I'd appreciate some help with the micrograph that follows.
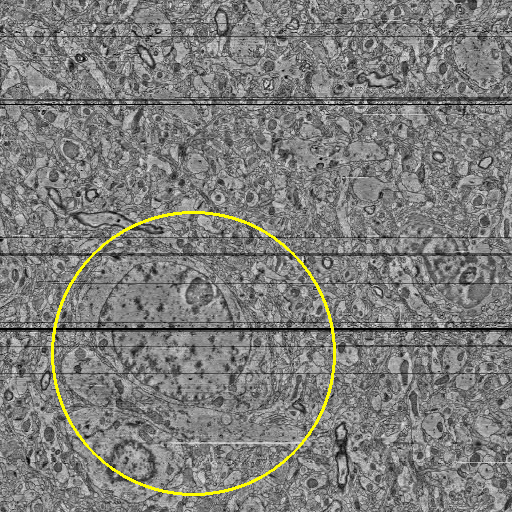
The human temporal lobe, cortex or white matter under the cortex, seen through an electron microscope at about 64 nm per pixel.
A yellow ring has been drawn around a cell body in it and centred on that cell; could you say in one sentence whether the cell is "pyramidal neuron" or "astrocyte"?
It is a pyramidal neuron at the centre of the ring.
